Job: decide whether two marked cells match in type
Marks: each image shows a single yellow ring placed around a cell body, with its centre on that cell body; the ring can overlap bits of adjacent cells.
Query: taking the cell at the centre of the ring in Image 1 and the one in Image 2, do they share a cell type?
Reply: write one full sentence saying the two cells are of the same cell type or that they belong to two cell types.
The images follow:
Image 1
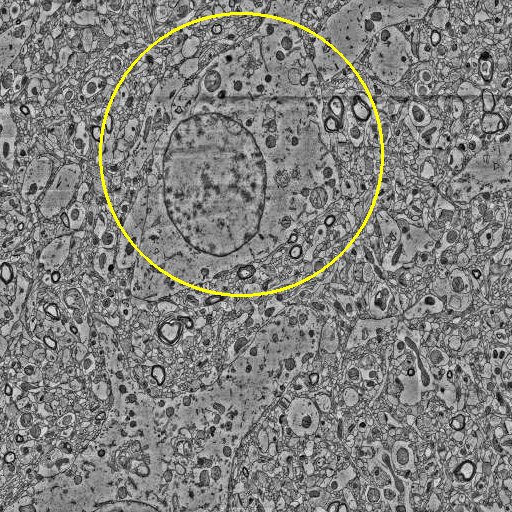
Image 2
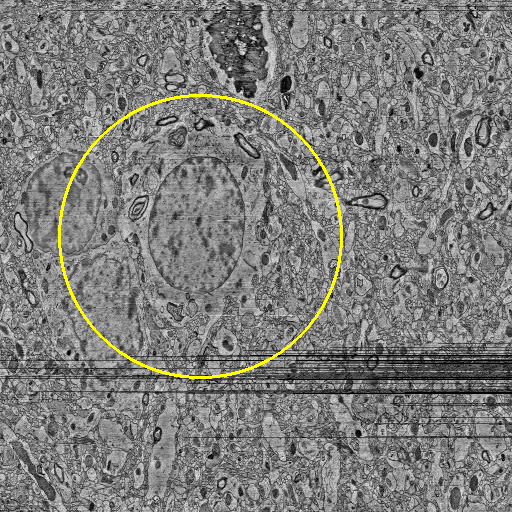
The cells at the ring centres in Image 1 and Image 2 belong to two cell types.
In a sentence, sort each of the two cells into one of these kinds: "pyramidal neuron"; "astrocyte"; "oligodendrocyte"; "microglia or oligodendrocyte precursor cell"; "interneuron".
The first of the two cells is a pyramidal neuron, and the second is an astrocyte.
